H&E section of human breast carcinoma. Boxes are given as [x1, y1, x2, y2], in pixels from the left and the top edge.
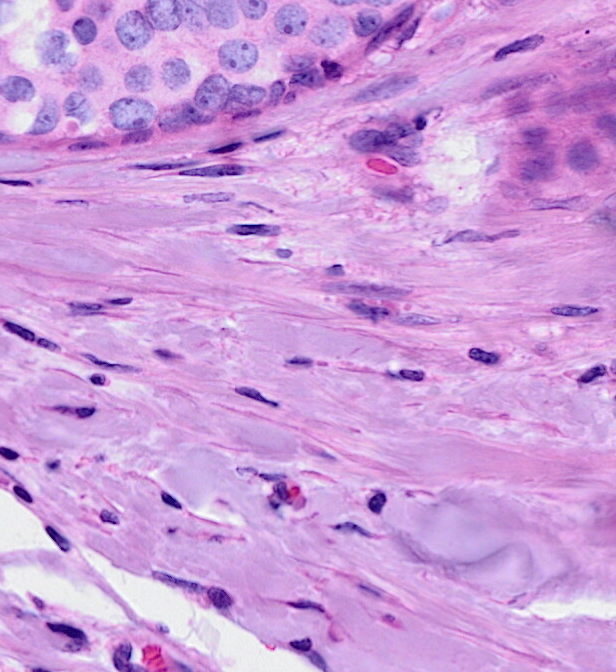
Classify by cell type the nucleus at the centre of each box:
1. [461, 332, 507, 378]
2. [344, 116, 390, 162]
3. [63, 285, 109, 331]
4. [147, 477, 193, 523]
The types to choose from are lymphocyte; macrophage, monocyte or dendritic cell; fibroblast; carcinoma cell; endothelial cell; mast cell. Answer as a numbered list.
1. mast cell
2. endothelial cell
3. fibroblast
4. lymphocyte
